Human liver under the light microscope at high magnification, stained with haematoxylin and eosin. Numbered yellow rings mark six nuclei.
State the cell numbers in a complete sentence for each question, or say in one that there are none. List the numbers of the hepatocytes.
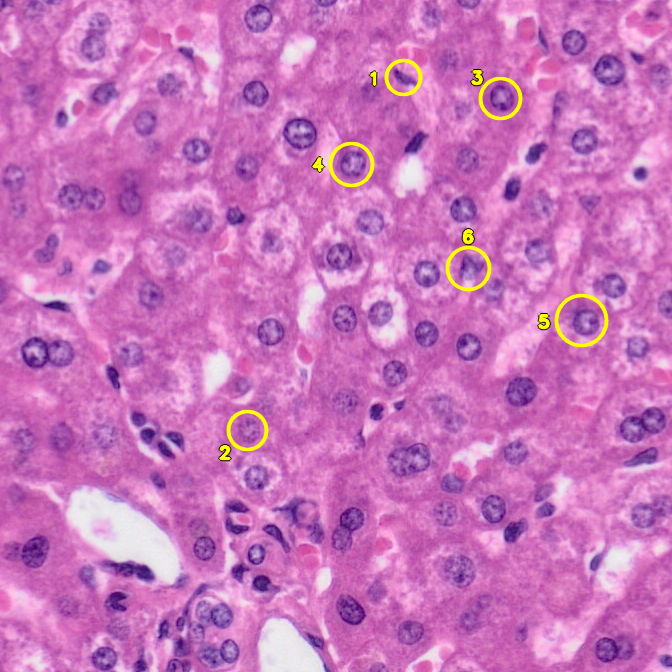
The cells to which the numbers 2, 3, 4 and 5 refer are hepatocytes.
